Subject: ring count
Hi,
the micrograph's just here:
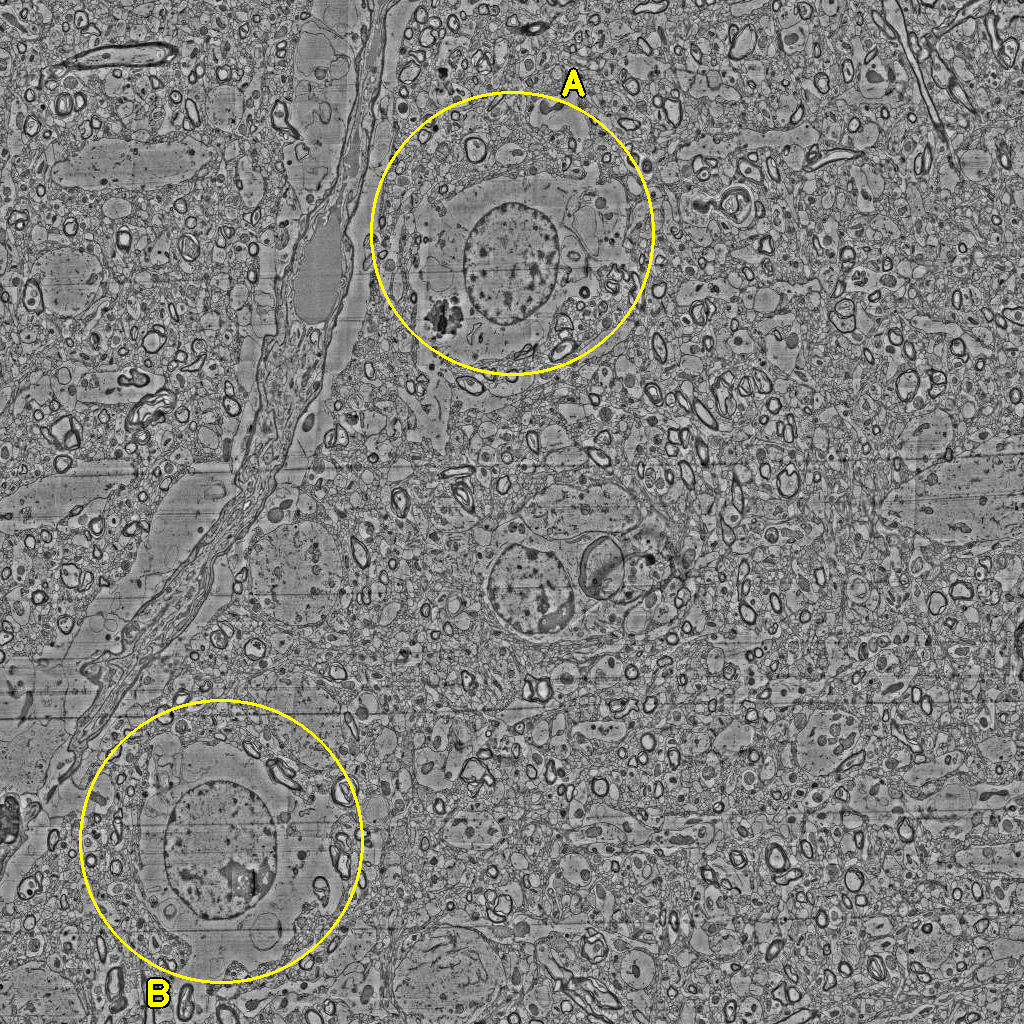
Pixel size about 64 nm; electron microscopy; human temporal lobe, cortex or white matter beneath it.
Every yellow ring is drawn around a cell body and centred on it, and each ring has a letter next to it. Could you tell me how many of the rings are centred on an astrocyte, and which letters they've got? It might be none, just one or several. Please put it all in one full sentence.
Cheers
Sitting at the centre of each of two rings is an astrocyte, and those rings bear the letters A and B.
